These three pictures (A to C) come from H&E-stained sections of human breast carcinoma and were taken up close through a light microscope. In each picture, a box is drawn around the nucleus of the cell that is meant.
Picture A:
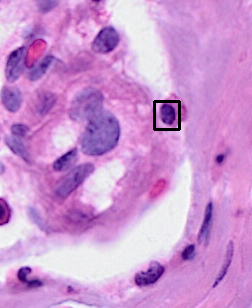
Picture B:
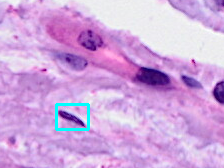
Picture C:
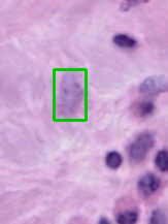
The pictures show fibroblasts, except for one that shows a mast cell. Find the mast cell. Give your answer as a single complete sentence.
Picture A shows the mast cell.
